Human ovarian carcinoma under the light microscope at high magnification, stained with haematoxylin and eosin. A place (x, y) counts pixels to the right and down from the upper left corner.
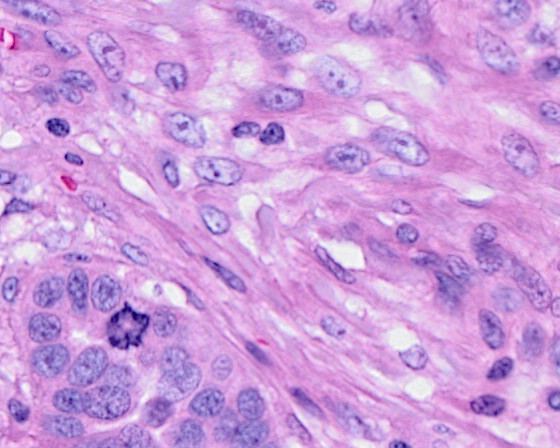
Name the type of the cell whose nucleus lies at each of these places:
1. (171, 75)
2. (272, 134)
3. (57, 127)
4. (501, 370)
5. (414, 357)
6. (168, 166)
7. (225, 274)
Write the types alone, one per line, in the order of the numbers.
fibroblast
lymphocyte
lymphocyte
lymphocyte
fibroblast
fibroblast
fibroblast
